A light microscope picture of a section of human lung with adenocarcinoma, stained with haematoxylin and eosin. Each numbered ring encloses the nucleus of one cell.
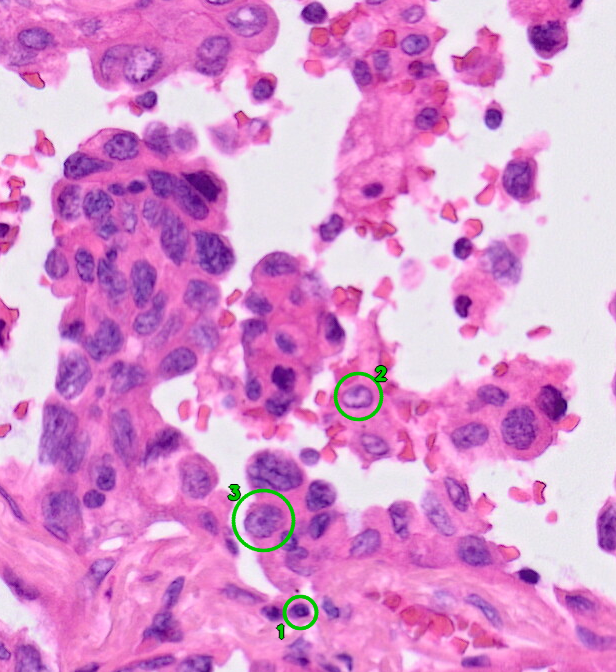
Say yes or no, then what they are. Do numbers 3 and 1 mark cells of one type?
No, cell 3 is a carcinoma cell, with cell 1 being a lymphocyte.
